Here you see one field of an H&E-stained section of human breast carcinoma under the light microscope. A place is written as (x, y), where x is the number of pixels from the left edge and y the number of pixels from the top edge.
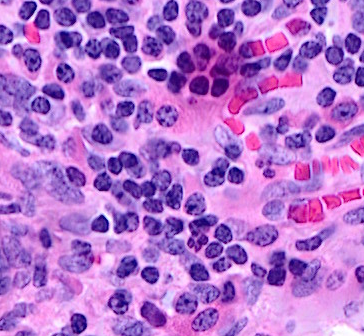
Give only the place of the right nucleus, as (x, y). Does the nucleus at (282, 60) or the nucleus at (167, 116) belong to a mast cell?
(167, 116)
